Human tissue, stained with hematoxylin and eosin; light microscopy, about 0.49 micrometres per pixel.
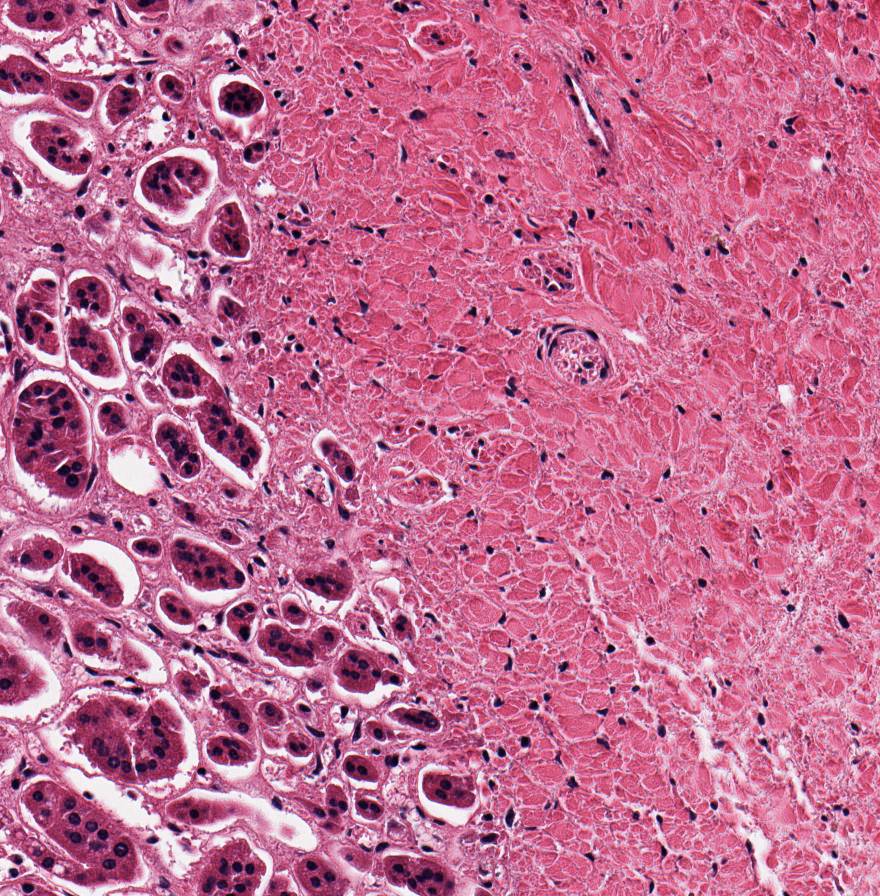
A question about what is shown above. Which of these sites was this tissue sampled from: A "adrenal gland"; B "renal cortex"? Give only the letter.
A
